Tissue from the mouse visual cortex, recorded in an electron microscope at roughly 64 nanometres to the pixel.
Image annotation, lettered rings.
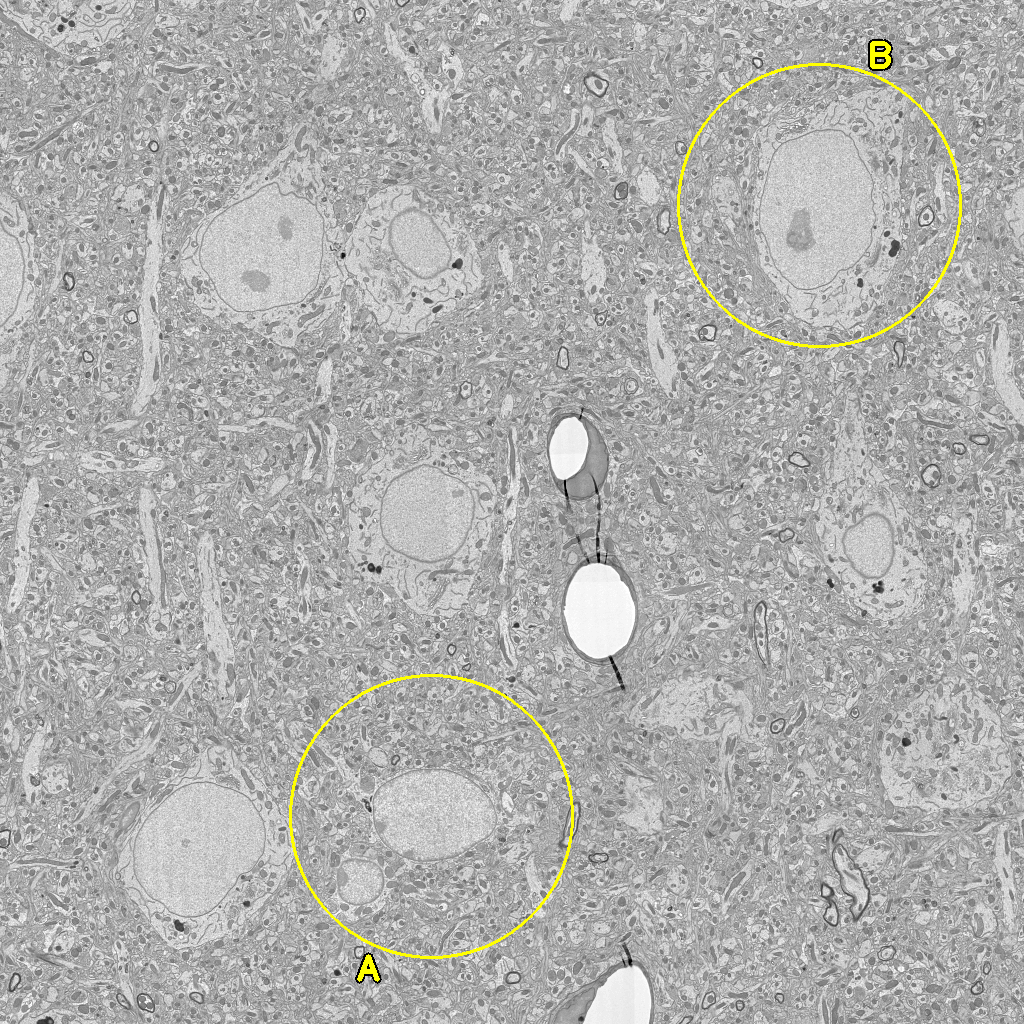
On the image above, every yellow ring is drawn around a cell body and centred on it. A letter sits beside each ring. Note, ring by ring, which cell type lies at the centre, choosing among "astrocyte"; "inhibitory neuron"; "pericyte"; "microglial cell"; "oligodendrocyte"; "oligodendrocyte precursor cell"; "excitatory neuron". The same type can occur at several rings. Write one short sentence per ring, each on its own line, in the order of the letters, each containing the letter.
Ring A has an astrocyte at its centre.
Ring B has an excitatory neuron at its centre.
